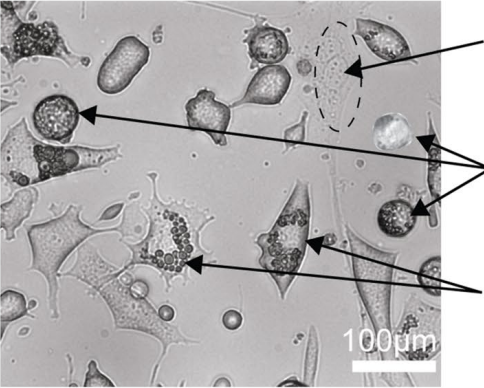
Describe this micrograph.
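This culture holds cells at various stages of maturation, from flat fibroblast-like progenitors to round adipocytes filled with lipid. The mature adipocytes are rounded cells whose cytoplasm is packed with refractile droplets. Other cells are still spread or spindle-shaped and hold only a limited number of droplets. A few flat, faint, elongated cells without droplets lie among them.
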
